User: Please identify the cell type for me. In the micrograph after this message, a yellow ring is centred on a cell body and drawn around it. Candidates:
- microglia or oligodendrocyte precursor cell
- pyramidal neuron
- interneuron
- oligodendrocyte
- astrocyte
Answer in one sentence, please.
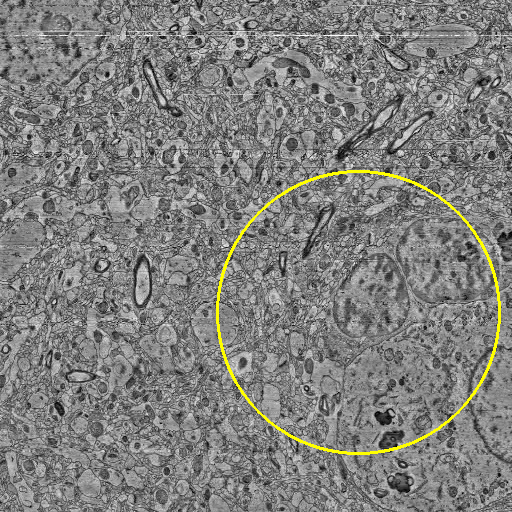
The ring is drawn around the cell body of an oligodendrocyte.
